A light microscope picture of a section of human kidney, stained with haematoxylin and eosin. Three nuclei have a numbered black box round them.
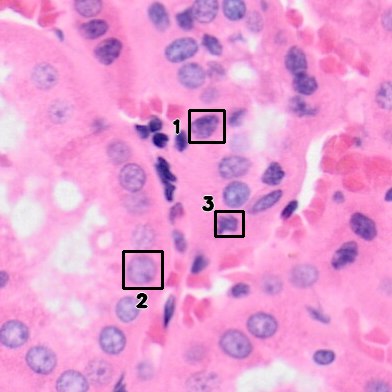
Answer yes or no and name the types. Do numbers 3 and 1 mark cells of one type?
No, cell number 3 is a loop of Henle or distal tubule cell, and cell number 1 is a collecting duct cell.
